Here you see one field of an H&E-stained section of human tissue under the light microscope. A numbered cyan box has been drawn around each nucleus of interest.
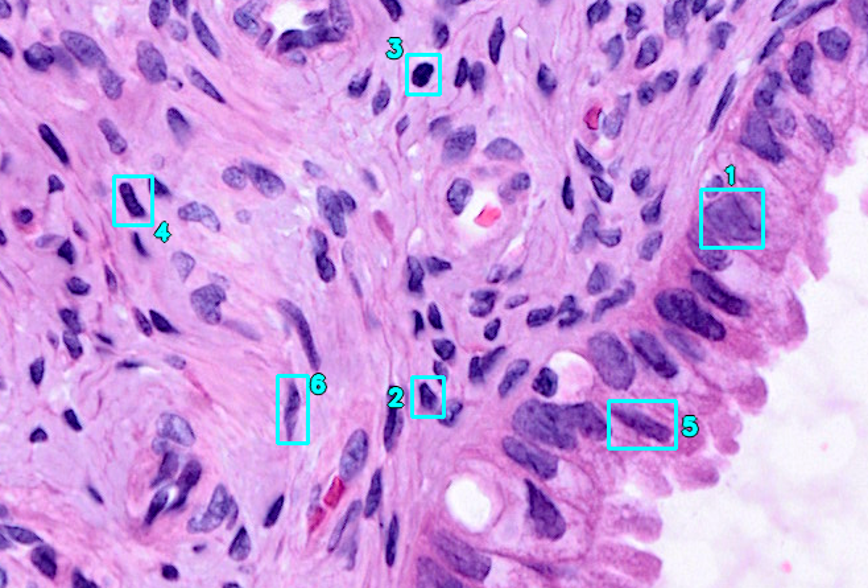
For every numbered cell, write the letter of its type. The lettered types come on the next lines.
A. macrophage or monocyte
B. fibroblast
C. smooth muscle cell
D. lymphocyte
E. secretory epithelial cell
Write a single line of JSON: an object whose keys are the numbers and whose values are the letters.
{"1": "E", "2": "B", "3": "D", "4": "B", "5": "E", "6": "B"}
